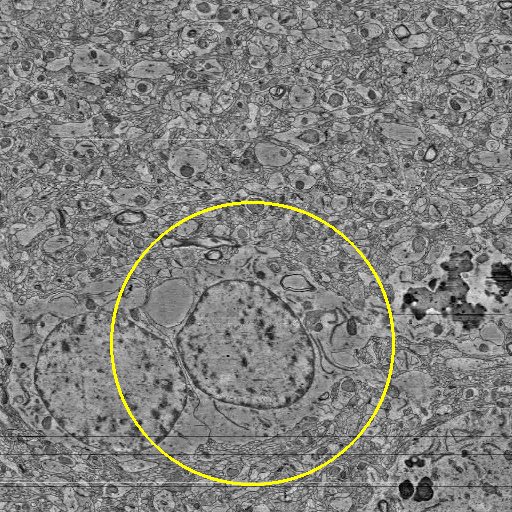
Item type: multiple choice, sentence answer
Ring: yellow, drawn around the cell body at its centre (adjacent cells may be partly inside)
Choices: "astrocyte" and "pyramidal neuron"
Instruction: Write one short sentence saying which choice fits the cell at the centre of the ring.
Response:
This ring is drawn around an astrocyte.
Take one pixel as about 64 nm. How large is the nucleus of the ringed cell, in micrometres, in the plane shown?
About 9 by 8 micrometers for the nucleus, in this plane.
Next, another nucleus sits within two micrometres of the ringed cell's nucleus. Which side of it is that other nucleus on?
That other nucleus is to the left of it.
